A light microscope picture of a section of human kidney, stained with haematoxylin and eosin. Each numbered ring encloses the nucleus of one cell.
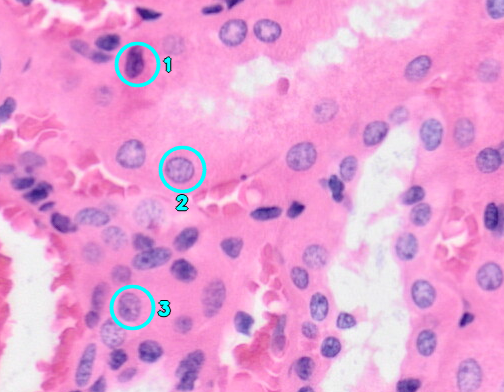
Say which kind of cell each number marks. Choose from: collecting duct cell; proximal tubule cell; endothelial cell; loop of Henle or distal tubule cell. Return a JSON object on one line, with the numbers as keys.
{"1": "proximal tubule cell", "2": "proximal tubule cell", "3": "collecting duct cell"}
